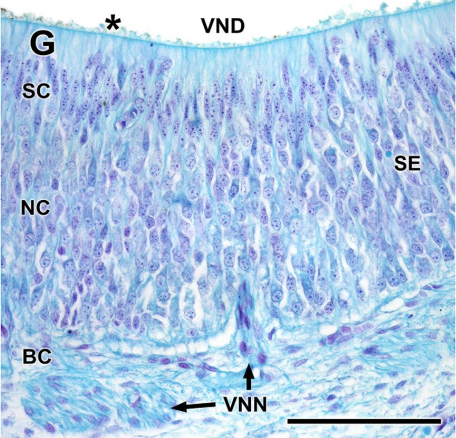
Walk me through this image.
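This is a thick sensory neuroepithelium lining the vomeronasal duct, built of supporting cells near the surface, receptor neurons in the middle and basal cells at the base. The free surface facing the lumen carries a thin pale fringe of microvilli. Just below the surface lies a zone of elongated cells whose nuclei are lined up near the apex, while the broad middle zone is crowded with rounded to oval purple nuclei with dotted chromatin, stacked in many rows. Bundles of nerve fibres run in this underlying connective tissue and one reaches up into the base of the epithelium.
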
